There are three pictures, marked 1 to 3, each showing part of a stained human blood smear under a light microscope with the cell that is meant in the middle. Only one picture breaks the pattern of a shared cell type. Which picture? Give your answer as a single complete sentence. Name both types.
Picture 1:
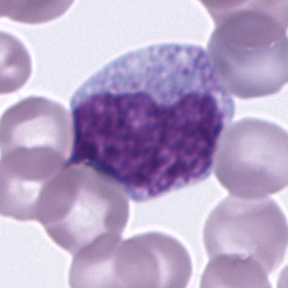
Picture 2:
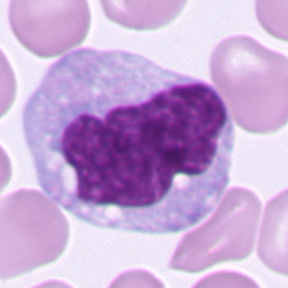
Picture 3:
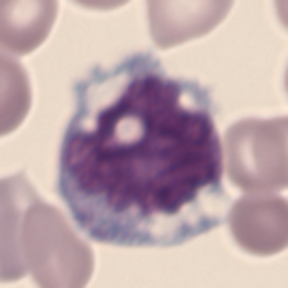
Unlike the rest, which show monocytes, picture 1 shows a myelocyte.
